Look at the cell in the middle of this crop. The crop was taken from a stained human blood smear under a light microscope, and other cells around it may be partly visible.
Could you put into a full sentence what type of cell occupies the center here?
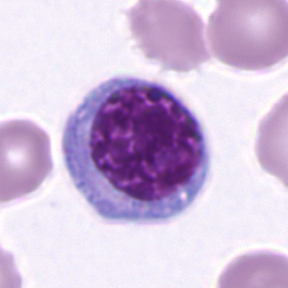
This crop is built around a plasma cell at its centre.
